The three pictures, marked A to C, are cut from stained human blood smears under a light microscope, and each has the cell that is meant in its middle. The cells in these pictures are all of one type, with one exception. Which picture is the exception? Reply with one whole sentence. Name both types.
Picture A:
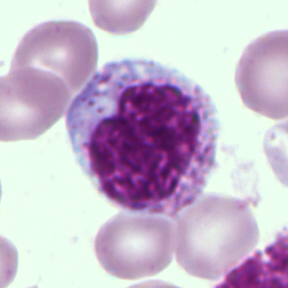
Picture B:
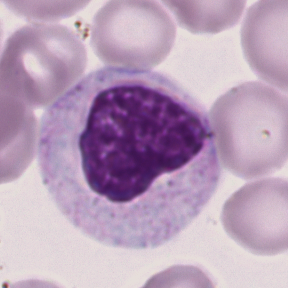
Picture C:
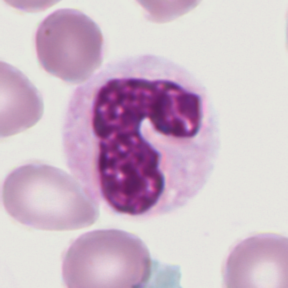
Picture C is the odd one out: it shows a band neutrophil, while the others show metamyelocytes.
